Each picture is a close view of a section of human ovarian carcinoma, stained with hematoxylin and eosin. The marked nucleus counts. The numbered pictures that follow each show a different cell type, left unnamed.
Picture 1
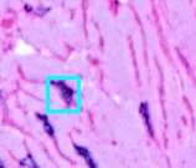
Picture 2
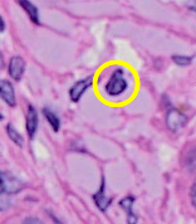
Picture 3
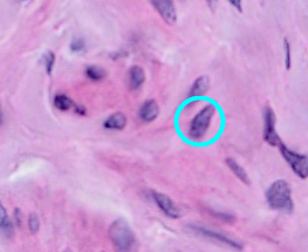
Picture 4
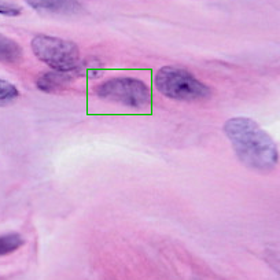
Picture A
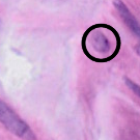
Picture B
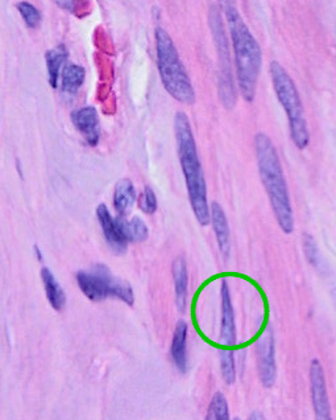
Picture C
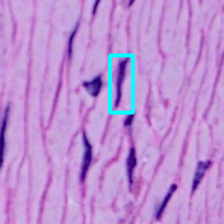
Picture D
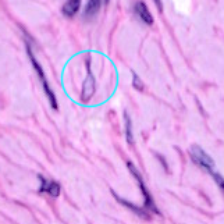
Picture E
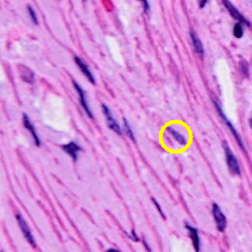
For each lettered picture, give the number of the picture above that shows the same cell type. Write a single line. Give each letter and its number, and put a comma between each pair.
A 3, B 3, C 1, D 1, E 1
